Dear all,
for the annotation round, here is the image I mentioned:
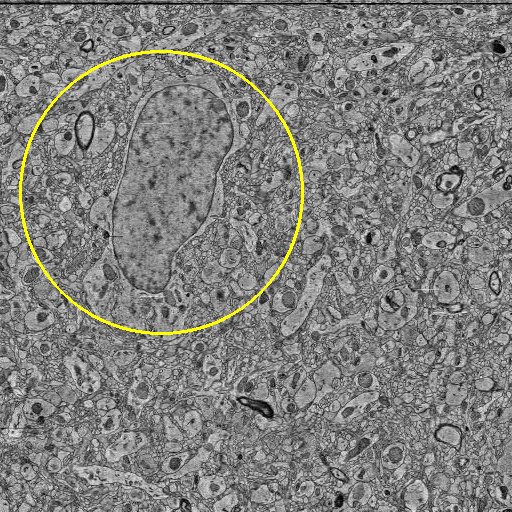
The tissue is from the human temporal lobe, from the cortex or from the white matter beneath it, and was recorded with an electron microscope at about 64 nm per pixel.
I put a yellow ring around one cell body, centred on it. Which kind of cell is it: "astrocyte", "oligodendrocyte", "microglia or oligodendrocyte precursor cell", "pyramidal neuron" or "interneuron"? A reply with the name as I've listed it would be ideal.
microglia or oligodendrocyte precursor cell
